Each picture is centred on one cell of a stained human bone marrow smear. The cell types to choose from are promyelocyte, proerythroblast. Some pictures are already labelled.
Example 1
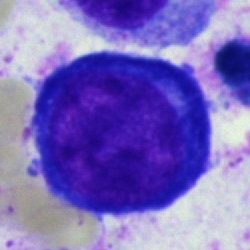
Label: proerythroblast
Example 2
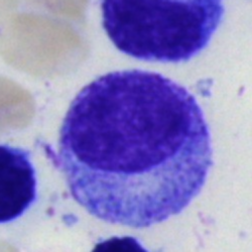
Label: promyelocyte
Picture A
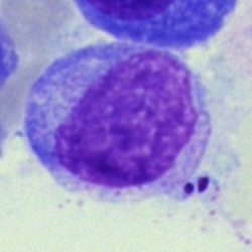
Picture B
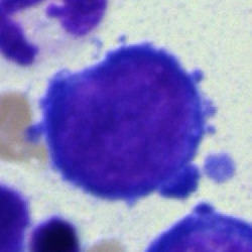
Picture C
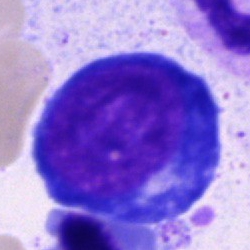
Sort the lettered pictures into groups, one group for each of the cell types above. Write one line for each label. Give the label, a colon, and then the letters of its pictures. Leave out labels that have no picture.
promyelocyte: A
proerythroblast: B, C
